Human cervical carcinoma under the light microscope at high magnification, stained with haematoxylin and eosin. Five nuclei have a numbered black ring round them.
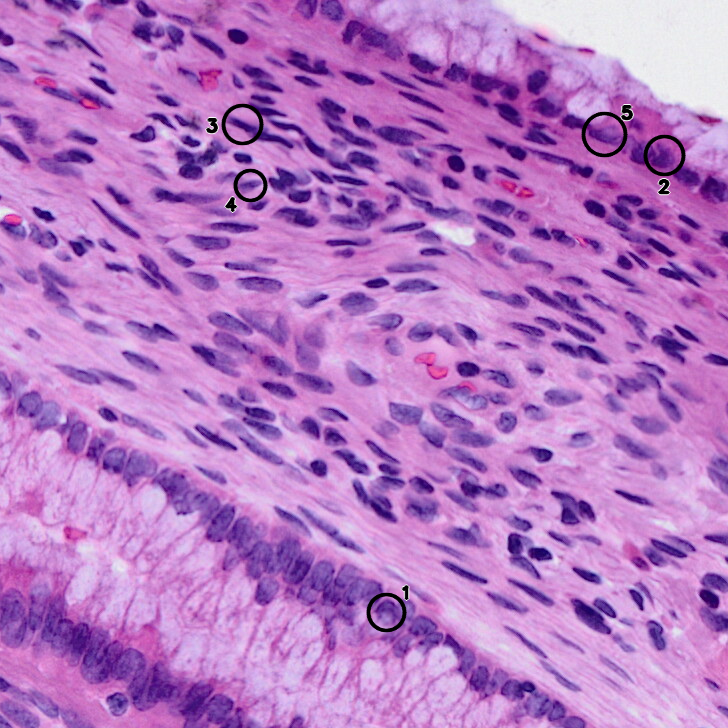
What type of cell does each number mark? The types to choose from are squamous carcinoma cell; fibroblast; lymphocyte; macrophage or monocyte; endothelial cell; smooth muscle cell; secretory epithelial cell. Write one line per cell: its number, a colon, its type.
1: secretory epithelial cell
2: secretory epithelial cell
3: fibroblast
4: fibroblast
5: secretory epithelial cell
